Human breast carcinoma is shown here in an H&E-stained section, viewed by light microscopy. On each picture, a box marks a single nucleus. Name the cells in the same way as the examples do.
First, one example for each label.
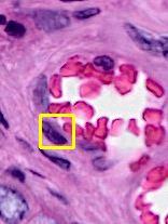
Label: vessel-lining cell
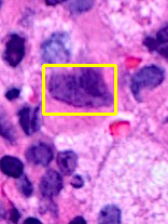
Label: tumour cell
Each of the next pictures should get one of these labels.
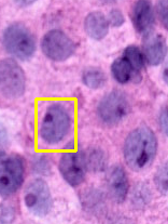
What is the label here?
tumour cell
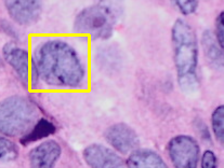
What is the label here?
tumour cell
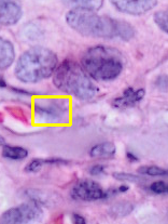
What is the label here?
vessel-lining cell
